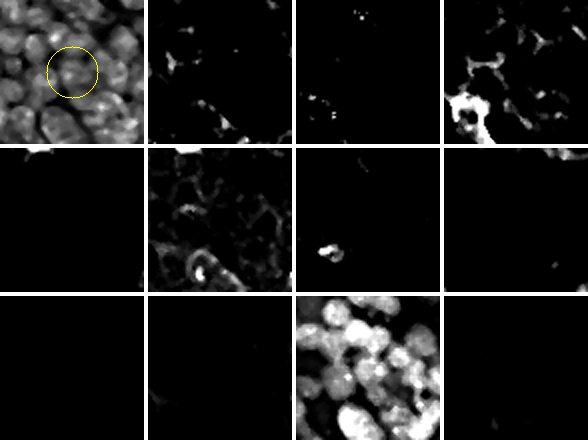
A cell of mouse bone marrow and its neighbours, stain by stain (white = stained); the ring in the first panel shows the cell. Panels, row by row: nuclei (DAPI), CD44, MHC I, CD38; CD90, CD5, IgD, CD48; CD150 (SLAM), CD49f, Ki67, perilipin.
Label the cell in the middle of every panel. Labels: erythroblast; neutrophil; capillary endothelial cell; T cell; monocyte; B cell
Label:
erythroblast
